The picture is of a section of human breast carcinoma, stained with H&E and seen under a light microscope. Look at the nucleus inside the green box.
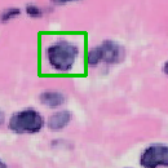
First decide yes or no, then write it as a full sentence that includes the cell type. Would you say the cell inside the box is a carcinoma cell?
No, the cell inside the box does not represent a carcinoma cell; it represents a lymphocyte.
